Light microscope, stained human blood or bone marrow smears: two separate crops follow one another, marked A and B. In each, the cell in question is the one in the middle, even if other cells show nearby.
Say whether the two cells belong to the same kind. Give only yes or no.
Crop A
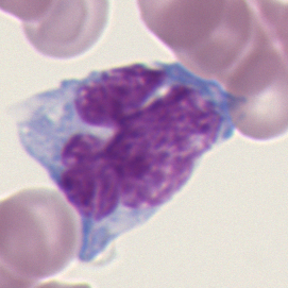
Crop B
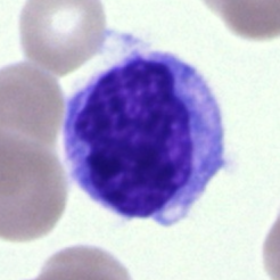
yes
